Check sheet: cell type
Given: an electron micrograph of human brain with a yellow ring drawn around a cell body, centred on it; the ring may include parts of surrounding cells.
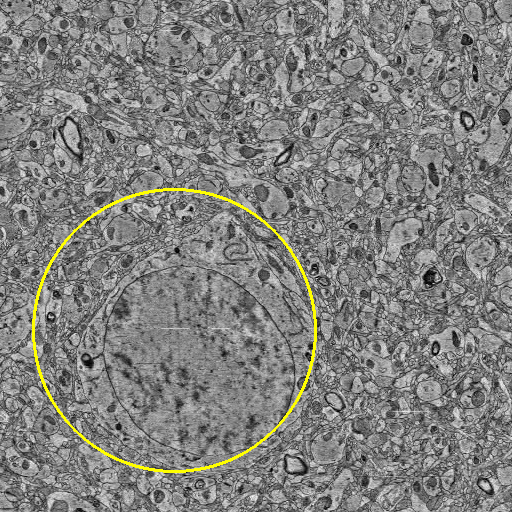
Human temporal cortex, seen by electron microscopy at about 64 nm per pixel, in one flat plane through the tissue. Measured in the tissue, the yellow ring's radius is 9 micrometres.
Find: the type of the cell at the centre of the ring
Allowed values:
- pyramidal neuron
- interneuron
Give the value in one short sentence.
Here the ringed cell is a pyramidal neuron.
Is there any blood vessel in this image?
No, there is no blood vessel.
